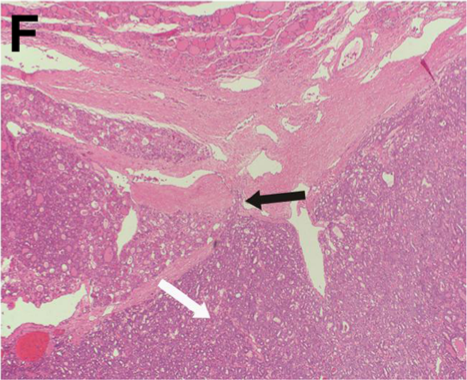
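This is a low-power view of a thyroid follicular tumour, in which the lower part is filled with a dense, crowded proliferation of many small follicles that stain purple-pink. Above it lies a band of pale pink fibrous stroma with scattered clefts. At the top edge are a few larger follicles holding pink colloid. Strands of the crowded follicular tissue reach up into the fibrous band, and a small blood vessel filled with red cells lies at the lower left.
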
